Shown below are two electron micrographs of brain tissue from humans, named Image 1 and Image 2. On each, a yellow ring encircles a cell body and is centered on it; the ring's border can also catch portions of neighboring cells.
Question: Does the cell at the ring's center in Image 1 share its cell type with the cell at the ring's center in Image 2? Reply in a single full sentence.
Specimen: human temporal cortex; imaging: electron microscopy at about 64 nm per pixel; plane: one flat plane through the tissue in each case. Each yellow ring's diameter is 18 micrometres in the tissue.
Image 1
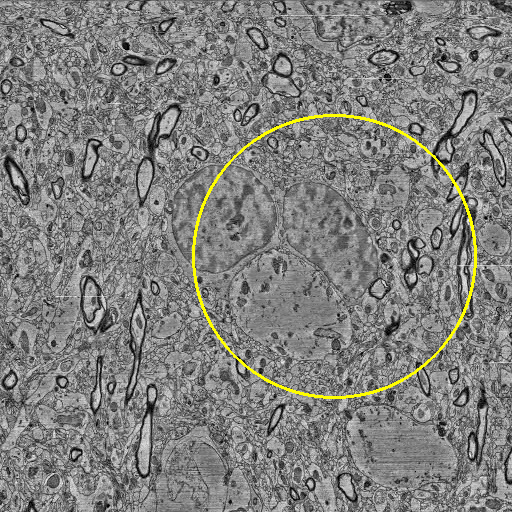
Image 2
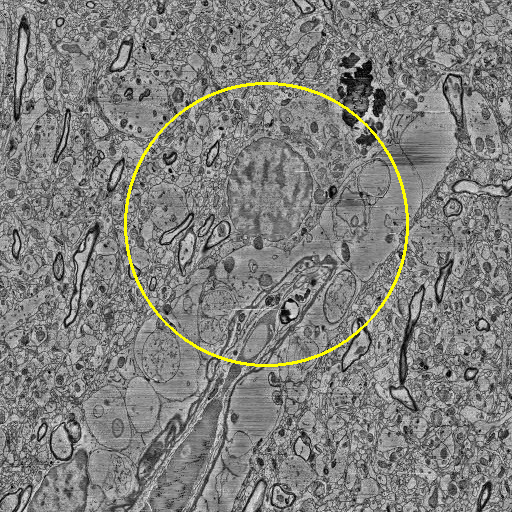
Yes, the two cells at the ring centers, in Image 1 and Image 2, share one cell type.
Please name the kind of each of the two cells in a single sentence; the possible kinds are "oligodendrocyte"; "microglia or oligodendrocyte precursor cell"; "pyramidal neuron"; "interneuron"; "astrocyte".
The ring centre holds an oligodendrocyte in each of the two pictures.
